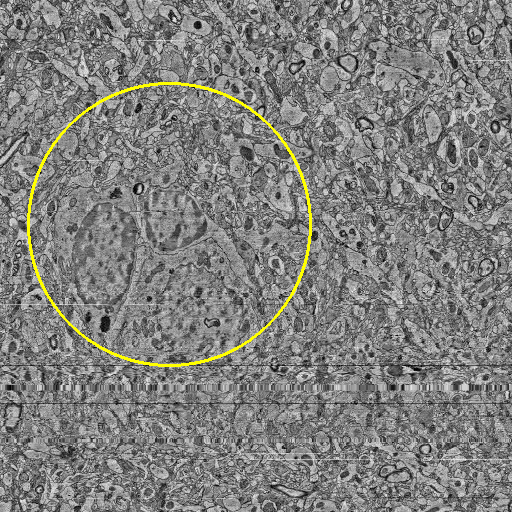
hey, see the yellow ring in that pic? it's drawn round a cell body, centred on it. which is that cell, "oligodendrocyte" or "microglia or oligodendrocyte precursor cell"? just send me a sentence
The cell in the ring is a microglial cell or oligodendrocyte precursor cell.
